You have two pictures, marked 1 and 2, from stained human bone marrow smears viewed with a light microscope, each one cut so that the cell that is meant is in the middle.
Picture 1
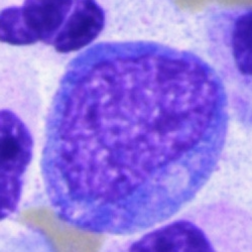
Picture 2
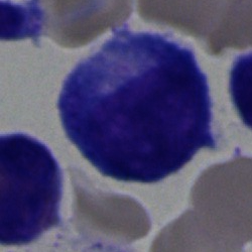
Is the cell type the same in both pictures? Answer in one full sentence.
Yes; the cells in both pictures are promyelocytes.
